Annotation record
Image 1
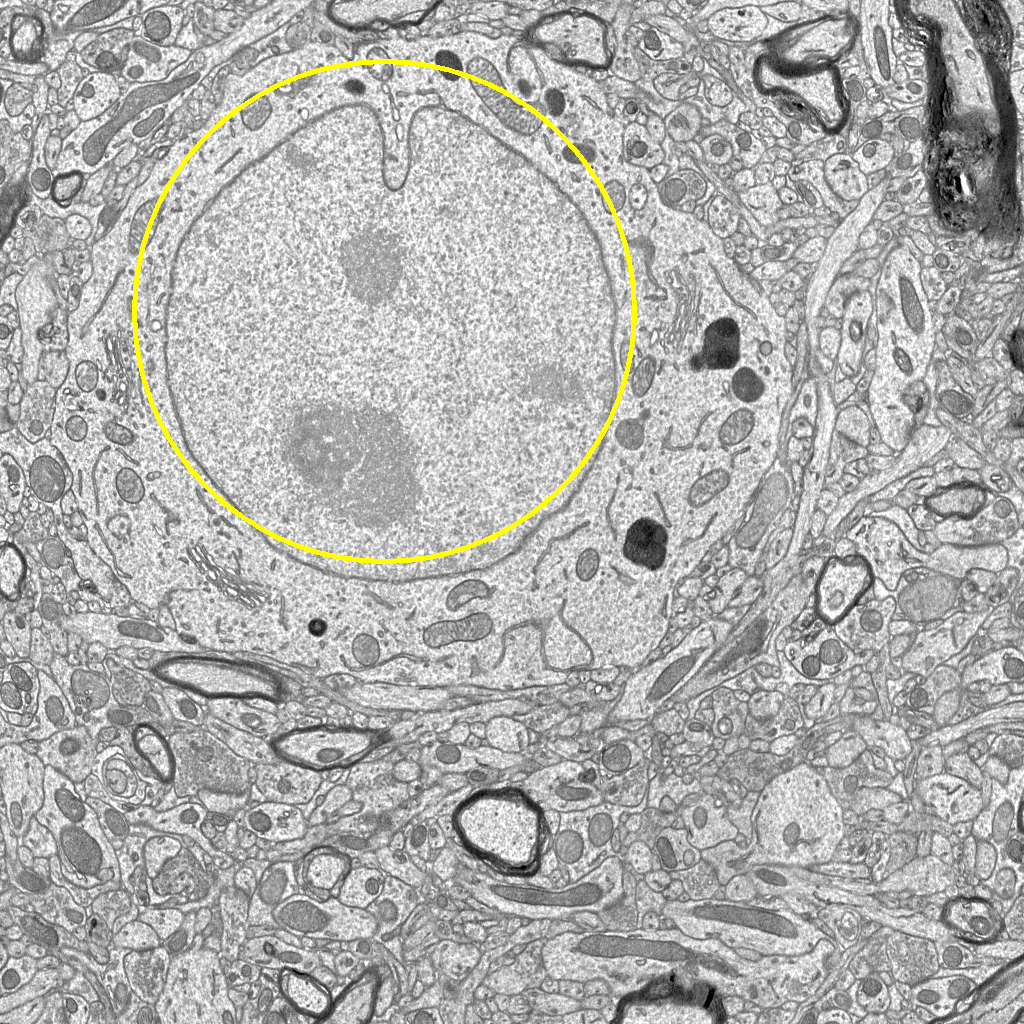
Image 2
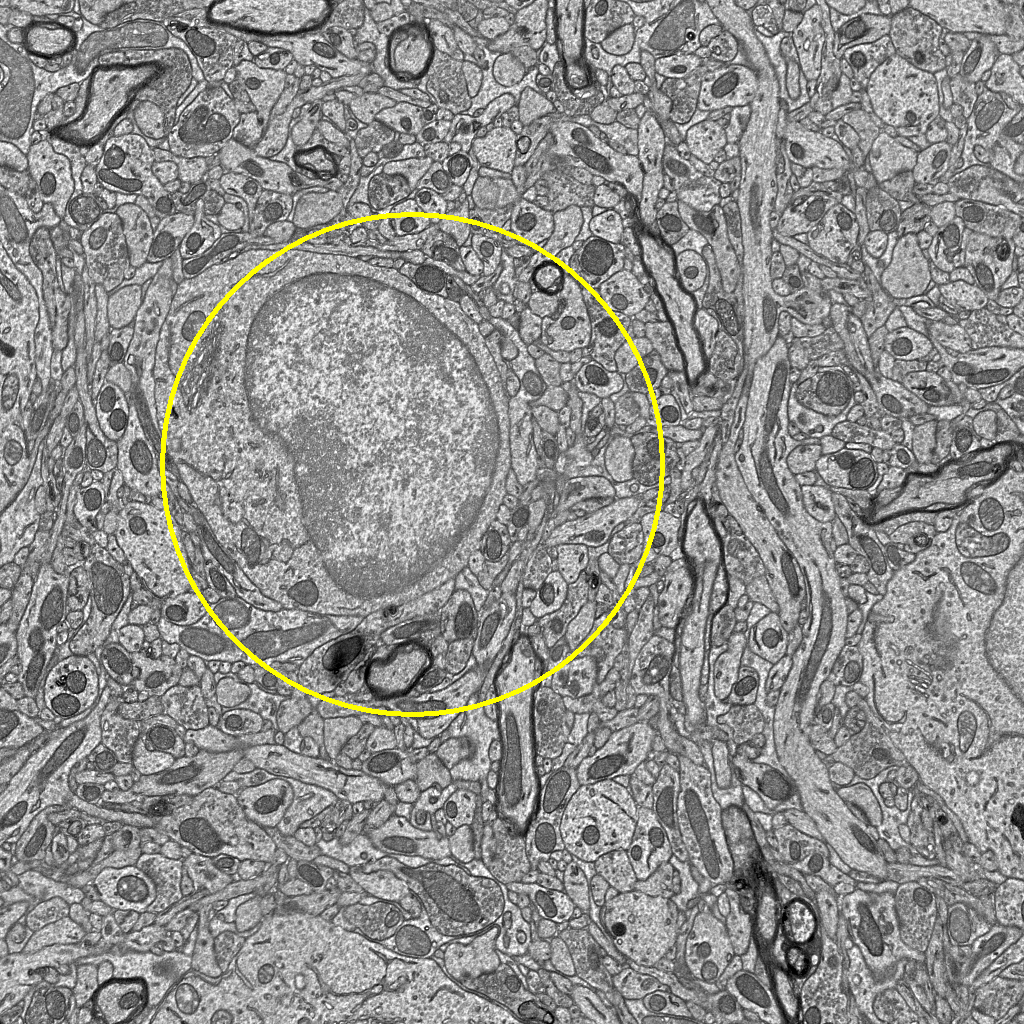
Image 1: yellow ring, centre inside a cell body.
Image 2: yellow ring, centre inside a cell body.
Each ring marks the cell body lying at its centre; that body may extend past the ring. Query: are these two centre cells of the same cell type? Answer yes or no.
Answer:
no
